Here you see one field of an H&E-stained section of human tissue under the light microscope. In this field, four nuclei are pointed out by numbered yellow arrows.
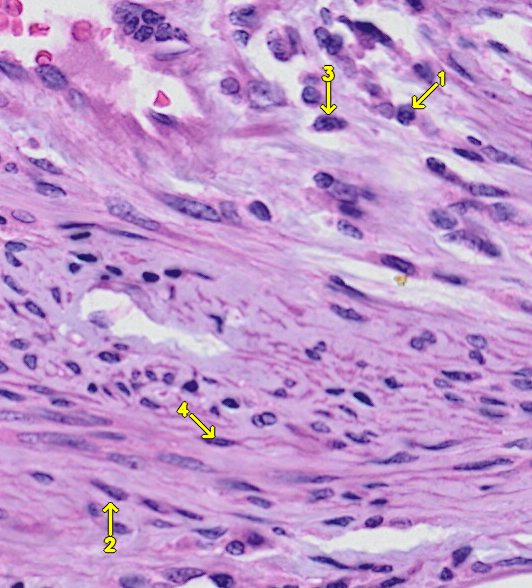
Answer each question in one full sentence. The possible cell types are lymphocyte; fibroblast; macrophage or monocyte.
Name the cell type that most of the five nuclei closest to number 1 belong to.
Macrophages or monocytes account for more than half of the five nuclei nearest to number 1.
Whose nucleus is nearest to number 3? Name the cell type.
Closest to number 3 lies the nucleus of a lymphocyte.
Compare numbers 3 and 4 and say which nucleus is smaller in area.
With nucleus 3 about 2 times its size, nucleus 4 is the smaller of the two.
